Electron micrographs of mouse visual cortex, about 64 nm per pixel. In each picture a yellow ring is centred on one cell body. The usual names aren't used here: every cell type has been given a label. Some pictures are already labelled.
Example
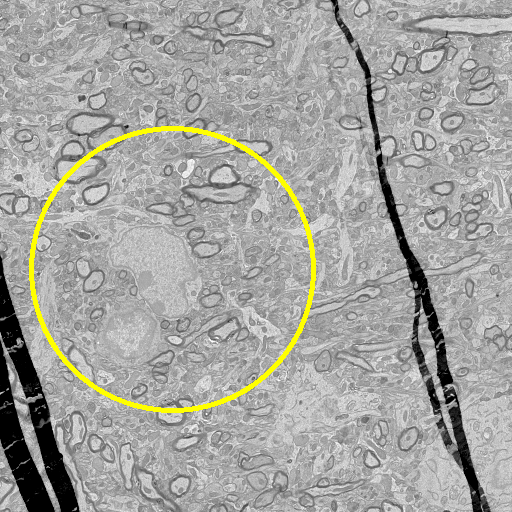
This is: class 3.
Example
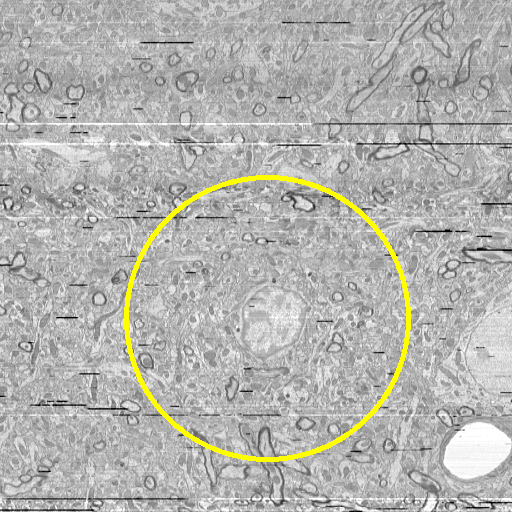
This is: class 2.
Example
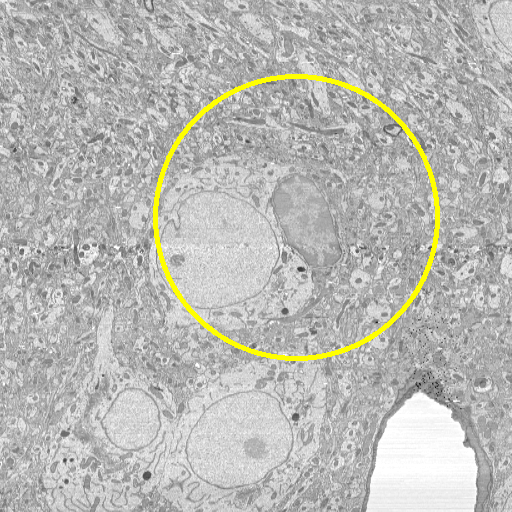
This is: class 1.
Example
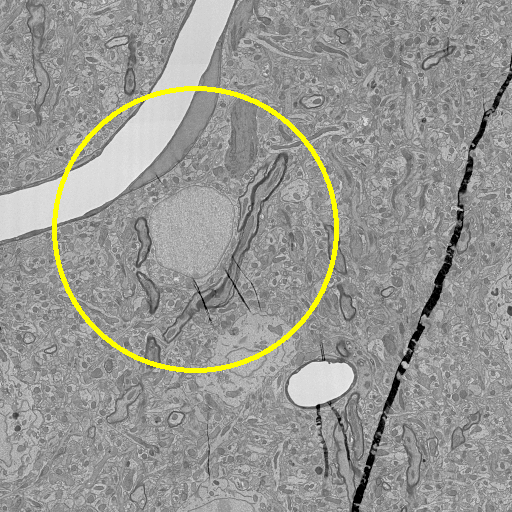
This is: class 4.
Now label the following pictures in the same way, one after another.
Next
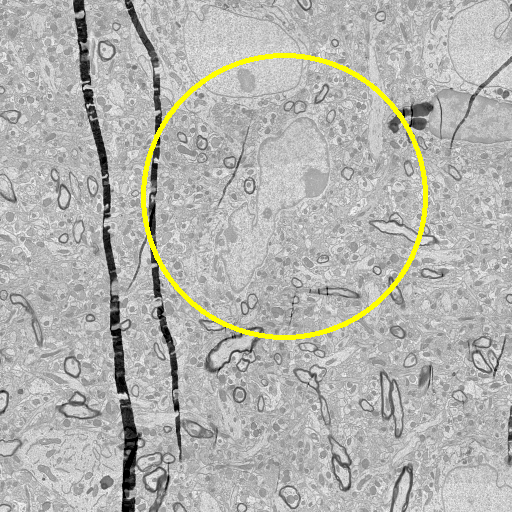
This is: class 3.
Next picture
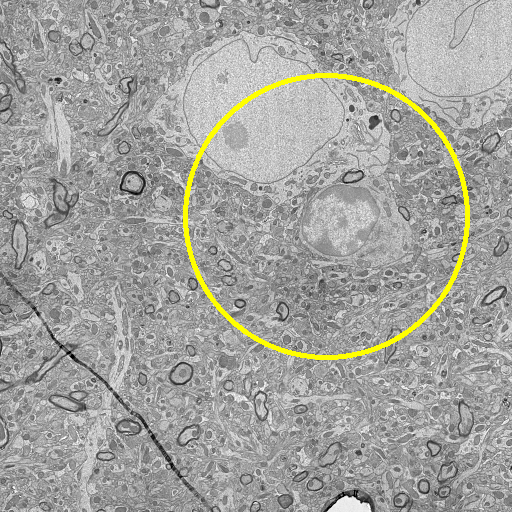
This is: class 2.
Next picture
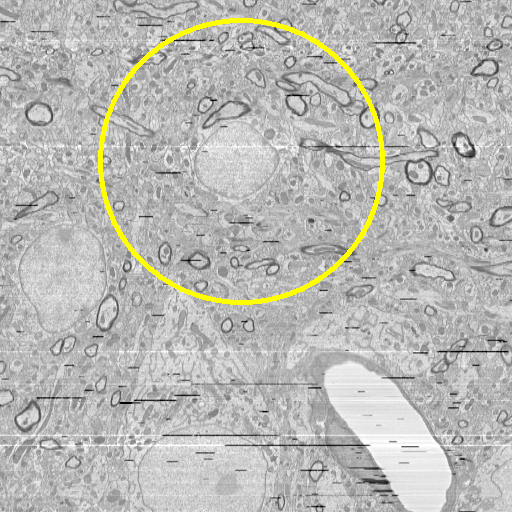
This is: class 4.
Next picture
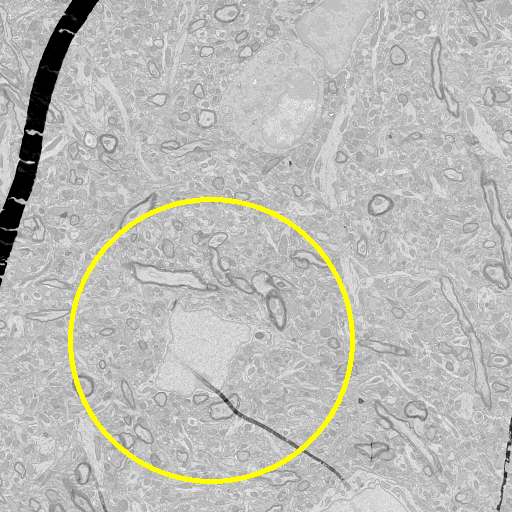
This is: class 3.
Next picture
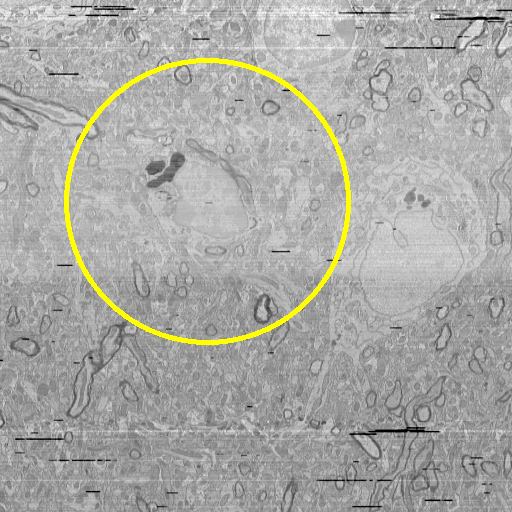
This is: class 1.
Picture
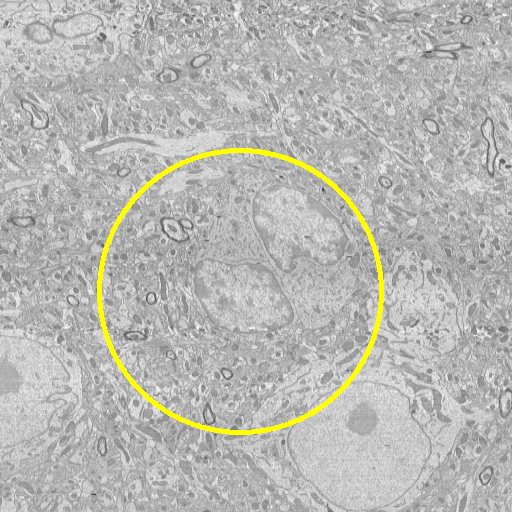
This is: class 2.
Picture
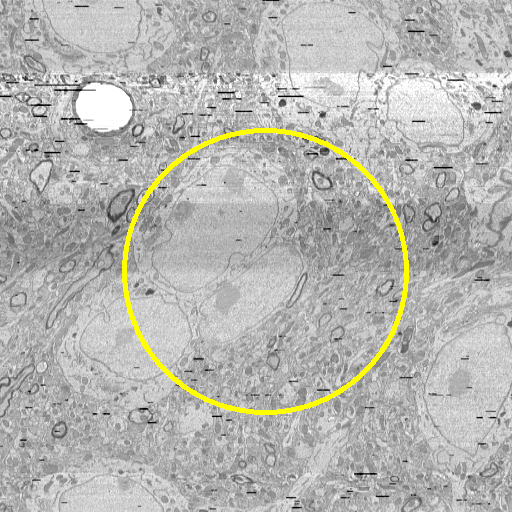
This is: class 3.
